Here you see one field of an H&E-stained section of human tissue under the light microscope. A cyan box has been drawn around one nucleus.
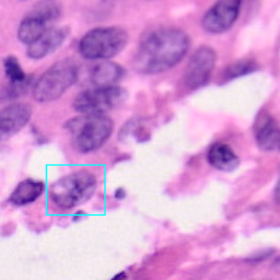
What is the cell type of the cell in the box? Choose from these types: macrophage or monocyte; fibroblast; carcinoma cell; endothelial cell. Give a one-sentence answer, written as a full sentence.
On this particular slide, the cell in the box is a macrophage or monocyte.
